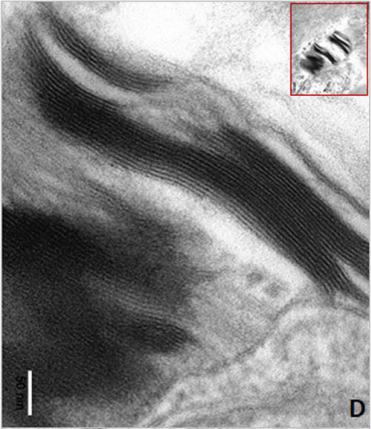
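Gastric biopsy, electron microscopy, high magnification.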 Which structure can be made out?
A: parallel stacked lamellae with a zebra-like pattern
